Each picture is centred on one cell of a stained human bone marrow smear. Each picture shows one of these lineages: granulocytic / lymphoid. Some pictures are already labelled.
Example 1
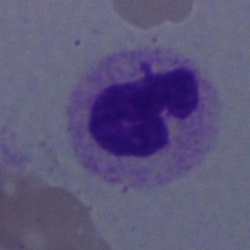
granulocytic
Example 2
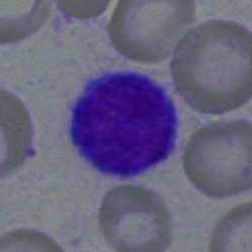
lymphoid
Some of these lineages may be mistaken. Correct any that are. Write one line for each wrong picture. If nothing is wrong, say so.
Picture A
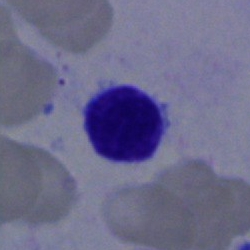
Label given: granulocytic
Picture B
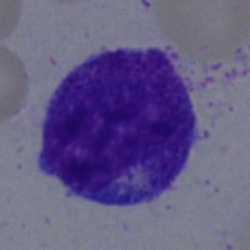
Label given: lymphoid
A should be lymphoid, not granulocytic
B should be granulocytic, not lymphoid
